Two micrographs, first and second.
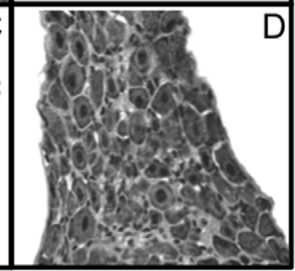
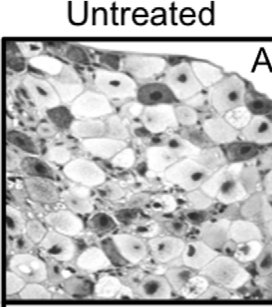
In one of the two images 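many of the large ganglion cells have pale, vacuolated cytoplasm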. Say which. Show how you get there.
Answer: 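First image: the large cell bodies have evenly dark, uniform cytoplasm. Second image: most large cell bodies have pale, clear, foamy cytoplasm.
Answer: the second image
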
